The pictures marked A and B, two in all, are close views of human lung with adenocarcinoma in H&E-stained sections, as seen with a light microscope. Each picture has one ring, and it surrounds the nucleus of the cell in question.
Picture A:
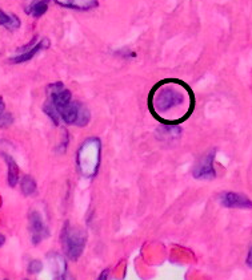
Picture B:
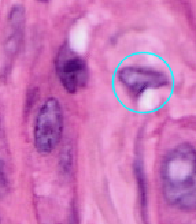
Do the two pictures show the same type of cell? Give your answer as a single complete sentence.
No, they differ: the cell is a mast cell in picture A and a fibroblast in picture B.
